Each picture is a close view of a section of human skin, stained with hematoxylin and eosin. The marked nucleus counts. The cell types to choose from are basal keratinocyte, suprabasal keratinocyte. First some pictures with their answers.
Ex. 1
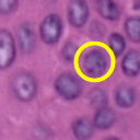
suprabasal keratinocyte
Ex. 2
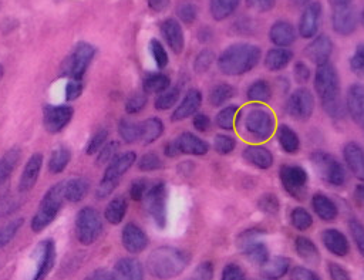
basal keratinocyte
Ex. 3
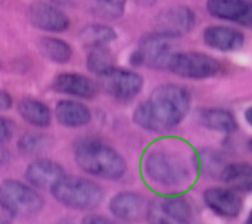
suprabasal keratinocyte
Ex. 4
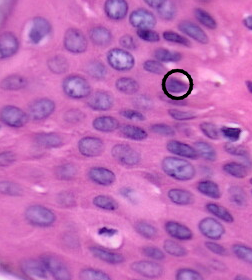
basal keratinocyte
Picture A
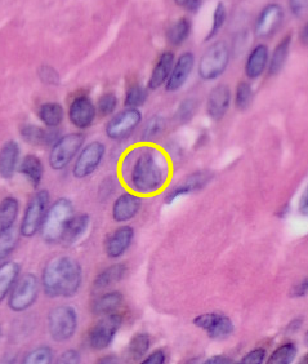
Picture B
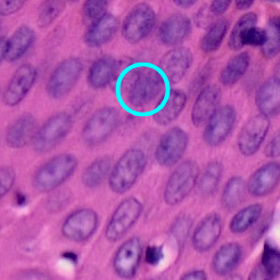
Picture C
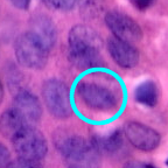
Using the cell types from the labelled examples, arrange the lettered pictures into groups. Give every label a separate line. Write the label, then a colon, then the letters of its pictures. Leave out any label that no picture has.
basal keratinocyte: A, C
suprabasal keratinocyte: B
